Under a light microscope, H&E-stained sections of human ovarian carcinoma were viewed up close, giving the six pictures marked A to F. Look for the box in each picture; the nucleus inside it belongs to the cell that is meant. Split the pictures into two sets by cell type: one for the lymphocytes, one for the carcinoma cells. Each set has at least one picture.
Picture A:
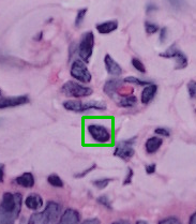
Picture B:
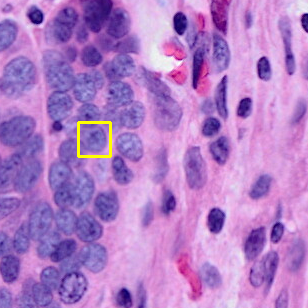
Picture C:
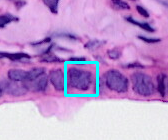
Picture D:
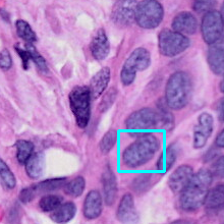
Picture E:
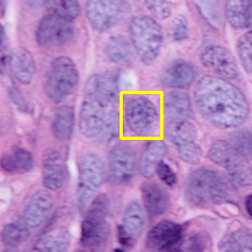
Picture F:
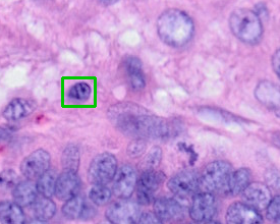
A: lymphocyte
B: carcinoma cell
C: carcinoma cell
D: carcinoma cell
E: carcinoma cell
F: lymphocyte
